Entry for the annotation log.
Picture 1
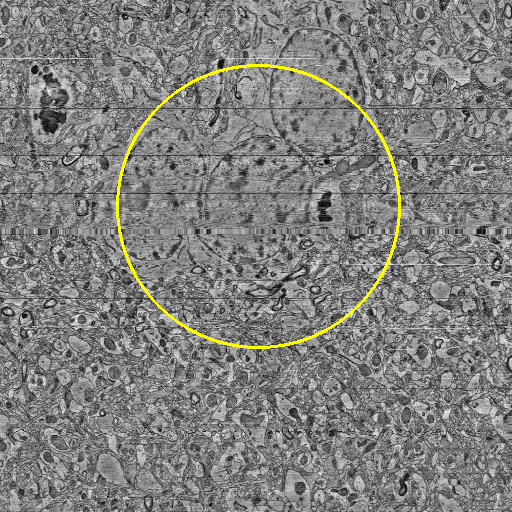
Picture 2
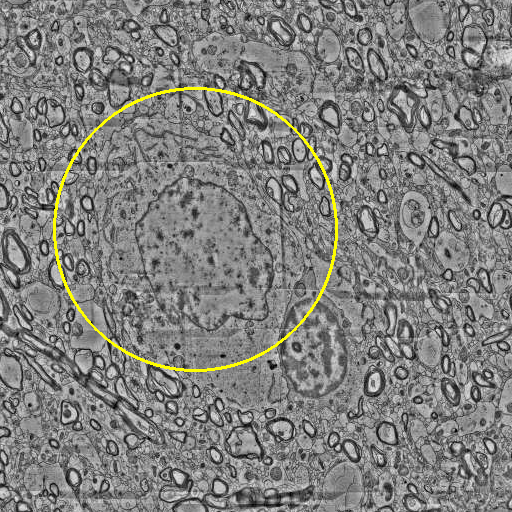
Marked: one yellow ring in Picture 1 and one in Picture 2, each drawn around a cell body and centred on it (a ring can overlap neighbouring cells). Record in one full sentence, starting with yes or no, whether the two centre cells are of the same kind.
No, the two cells are of two kinds.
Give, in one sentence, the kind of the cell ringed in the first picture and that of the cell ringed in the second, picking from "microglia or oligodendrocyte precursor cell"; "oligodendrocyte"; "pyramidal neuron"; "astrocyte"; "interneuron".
For the first picture it is an astrocyte; for the second, a pyramidal neuron.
